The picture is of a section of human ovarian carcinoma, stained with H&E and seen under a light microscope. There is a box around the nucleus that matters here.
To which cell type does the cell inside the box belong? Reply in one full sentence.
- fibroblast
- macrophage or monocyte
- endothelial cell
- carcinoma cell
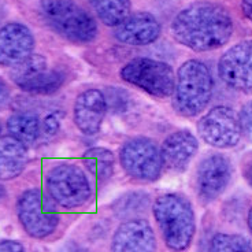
In the stained section, the cell inside the box is a carcinoma cell.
